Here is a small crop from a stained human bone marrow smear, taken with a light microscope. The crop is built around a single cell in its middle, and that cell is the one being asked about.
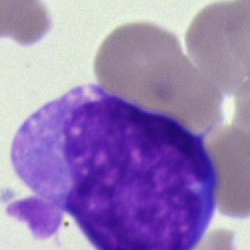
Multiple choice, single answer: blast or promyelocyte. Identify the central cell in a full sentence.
On this slide crop, the central cell is a blast.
